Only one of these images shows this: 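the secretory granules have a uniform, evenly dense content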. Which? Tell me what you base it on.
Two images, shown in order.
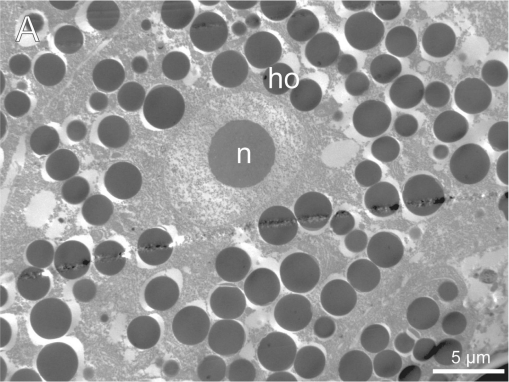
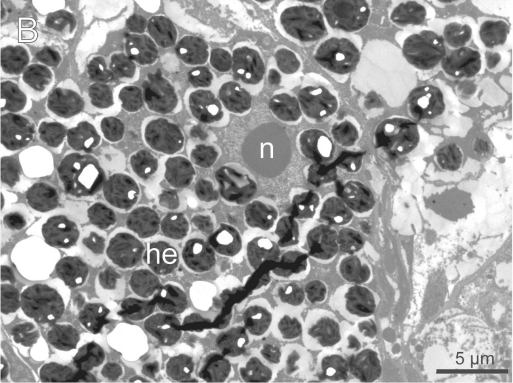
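Second image: granules are mottled, with dark irregular inclusions and small white spots inside. First image: granules are round and evenly grey throughout. On this evidence: the first image.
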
